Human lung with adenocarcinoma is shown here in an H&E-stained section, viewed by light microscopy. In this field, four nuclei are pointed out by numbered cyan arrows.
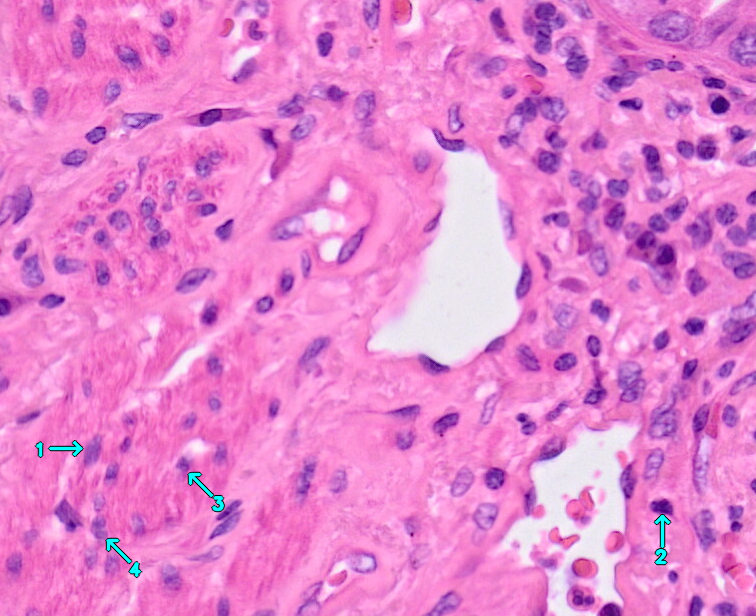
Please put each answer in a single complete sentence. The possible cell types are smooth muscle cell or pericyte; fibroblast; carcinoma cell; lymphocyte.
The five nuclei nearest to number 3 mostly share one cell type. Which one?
Of the five nuclei nearest to number 3, most belong to smooth muscle cells or pericytes.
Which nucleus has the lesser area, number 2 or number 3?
It is nucleus 3; nucleus 2 has about 1.5 times its area.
